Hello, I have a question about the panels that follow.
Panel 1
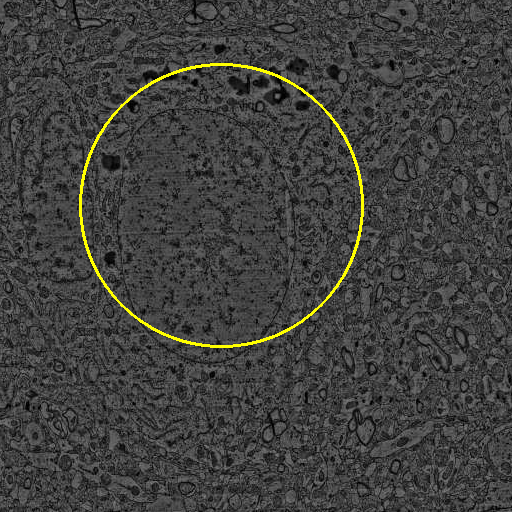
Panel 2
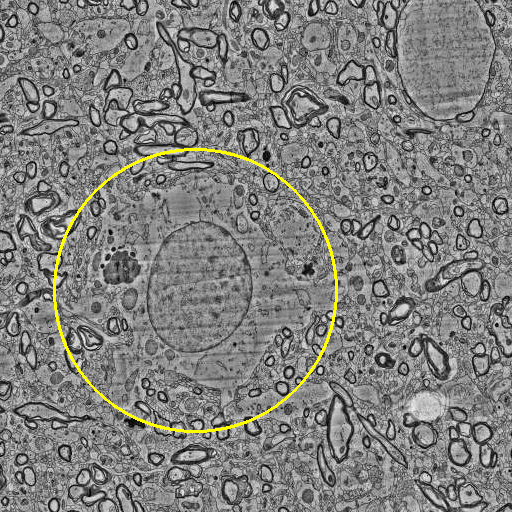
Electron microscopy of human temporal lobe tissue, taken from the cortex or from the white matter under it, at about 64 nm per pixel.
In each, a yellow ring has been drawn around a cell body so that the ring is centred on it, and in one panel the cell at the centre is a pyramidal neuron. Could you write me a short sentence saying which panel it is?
It is Panel 1.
